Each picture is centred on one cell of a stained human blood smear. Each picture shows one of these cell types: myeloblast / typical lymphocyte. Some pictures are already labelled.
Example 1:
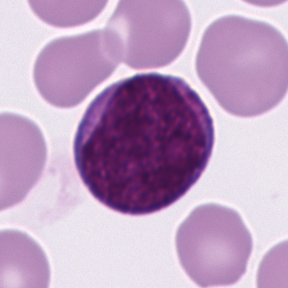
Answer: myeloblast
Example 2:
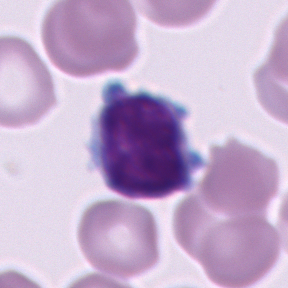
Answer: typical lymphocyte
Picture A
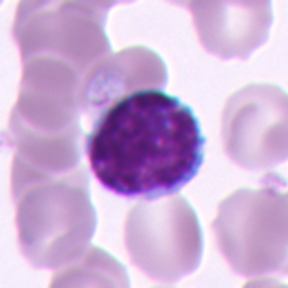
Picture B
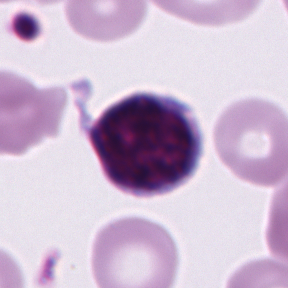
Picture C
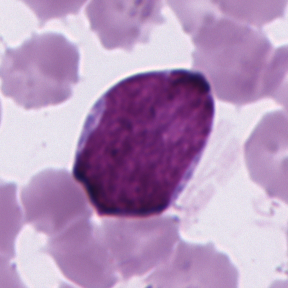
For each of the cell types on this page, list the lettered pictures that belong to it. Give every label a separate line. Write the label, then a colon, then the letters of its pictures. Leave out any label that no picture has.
myeloblast: C
typical lymphocyte: A, B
